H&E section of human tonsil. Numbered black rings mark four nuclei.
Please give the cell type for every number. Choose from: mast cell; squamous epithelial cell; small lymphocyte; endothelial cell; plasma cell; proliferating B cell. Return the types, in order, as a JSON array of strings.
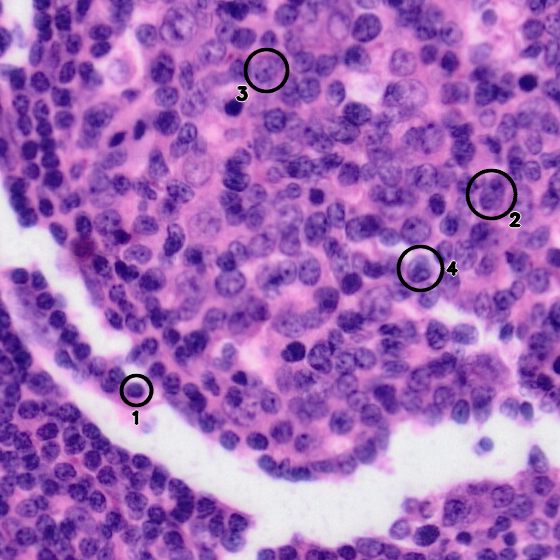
["small lymphocyte", "proliferating B cell", "proliferating B cell", "proliferating B cell"]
